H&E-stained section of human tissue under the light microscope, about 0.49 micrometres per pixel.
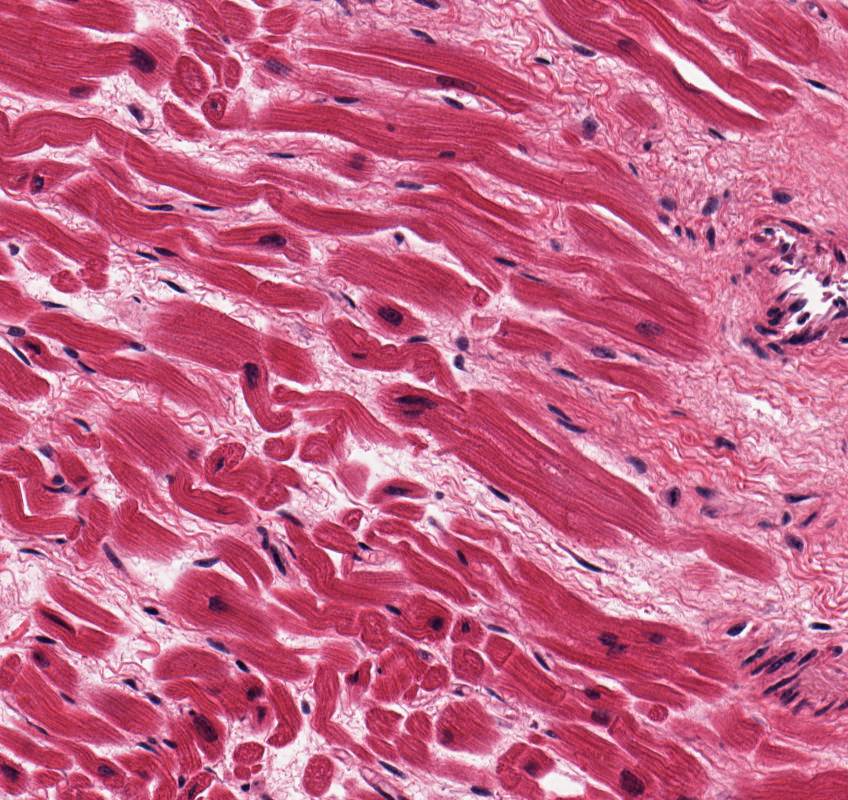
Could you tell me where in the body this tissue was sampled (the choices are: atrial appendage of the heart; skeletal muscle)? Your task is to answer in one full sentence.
The section was prepared from tissue of the atrial appendage of the heart.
